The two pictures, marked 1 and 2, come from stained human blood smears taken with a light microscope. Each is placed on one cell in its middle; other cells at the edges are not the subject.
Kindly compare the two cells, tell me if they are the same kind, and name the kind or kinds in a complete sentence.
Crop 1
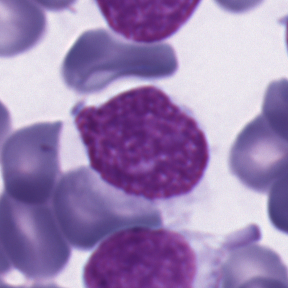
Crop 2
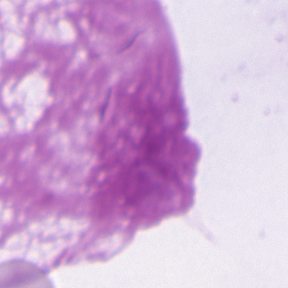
No, whereas crop 1 shows a myeloblast, crop 2 shows a smudge cell.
